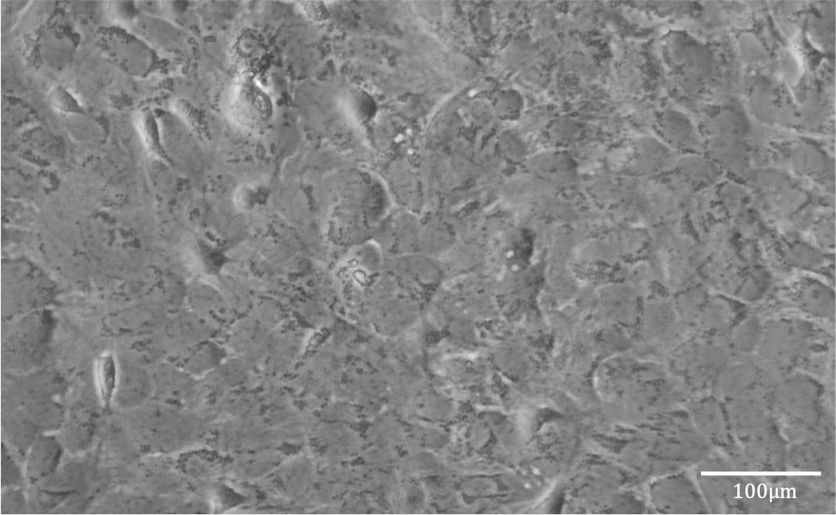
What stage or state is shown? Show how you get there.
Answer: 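Cells cover the whole field with no empty gaps between them. Neighbouring cells touch and overlap edge to edge.
Hence: confluent.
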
